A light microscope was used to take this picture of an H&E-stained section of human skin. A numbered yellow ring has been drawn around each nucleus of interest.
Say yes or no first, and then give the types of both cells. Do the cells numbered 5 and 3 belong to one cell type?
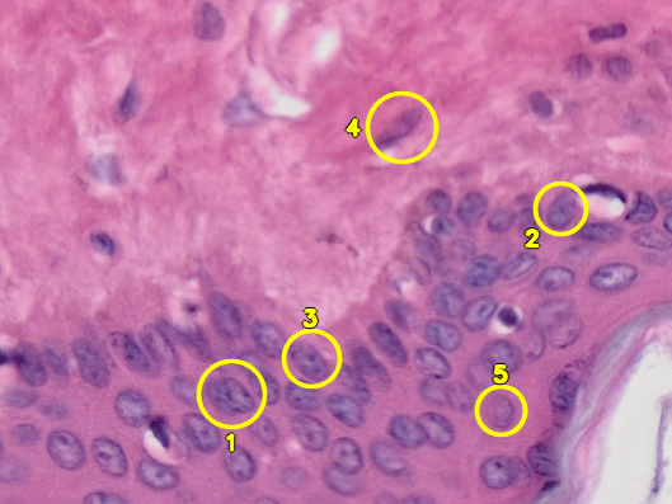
No, sorry to say, cell 5 is a suprabasal keratinocyte and cell 3 is a basal keratinocyte.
